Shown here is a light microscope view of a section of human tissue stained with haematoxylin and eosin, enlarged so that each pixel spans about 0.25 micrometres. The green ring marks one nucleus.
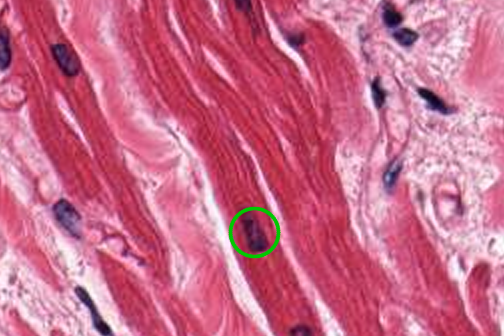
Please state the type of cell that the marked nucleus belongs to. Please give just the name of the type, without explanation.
cardiomyocyte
